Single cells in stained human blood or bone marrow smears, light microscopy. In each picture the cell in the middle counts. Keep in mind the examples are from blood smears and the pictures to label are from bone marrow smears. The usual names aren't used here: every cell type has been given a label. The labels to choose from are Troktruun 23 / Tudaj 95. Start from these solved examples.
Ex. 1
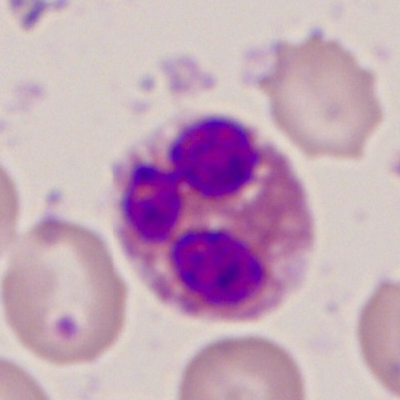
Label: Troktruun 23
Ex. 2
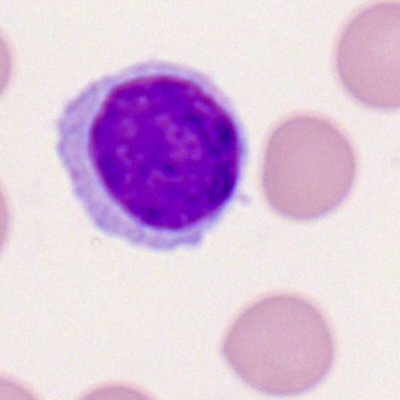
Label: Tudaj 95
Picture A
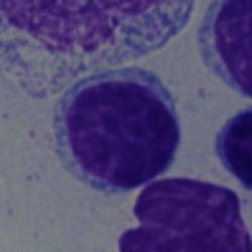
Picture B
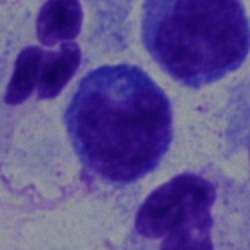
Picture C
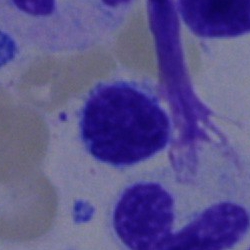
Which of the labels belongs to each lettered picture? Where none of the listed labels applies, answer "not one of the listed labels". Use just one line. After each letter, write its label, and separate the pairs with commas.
A Tudaj 95, B Tudaj 95, C Tudaj 95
